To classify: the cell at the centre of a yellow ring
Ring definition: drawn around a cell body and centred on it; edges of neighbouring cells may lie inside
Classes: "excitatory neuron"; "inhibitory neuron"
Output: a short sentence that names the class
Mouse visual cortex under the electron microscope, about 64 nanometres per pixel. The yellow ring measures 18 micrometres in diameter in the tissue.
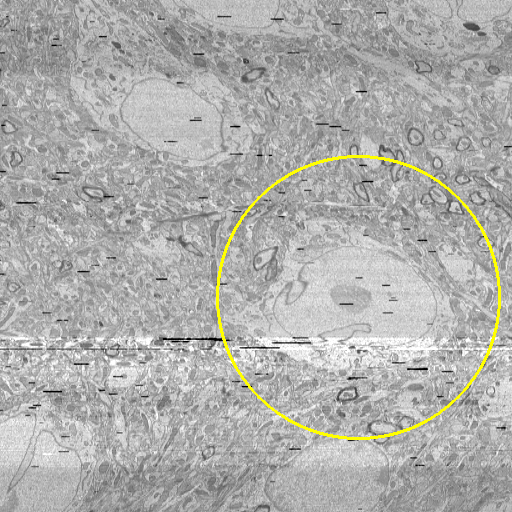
The ringed cell is an excitatory neuron.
